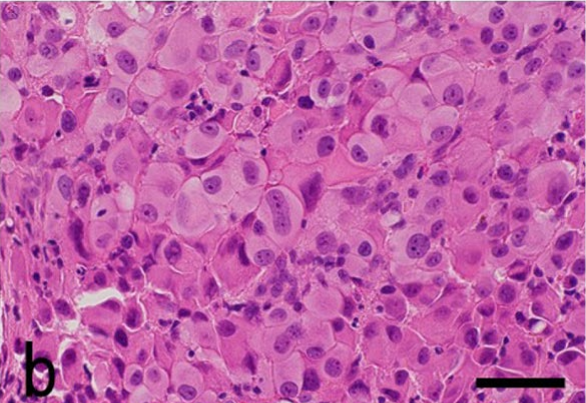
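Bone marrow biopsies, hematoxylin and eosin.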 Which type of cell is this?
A: Cancer cells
